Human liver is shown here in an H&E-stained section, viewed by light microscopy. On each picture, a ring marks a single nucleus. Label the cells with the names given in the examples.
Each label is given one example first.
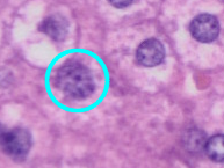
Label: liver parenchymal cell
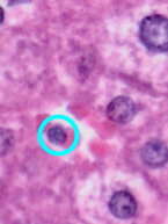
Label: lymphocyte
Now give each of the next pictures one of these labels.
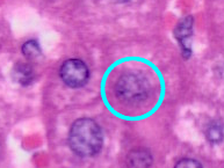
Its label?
liver parenchymal cell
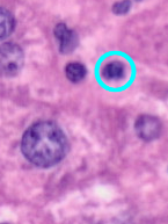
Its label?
lymphocyte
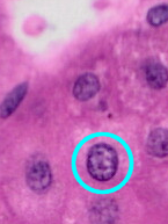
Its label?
liver parenchymal cell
